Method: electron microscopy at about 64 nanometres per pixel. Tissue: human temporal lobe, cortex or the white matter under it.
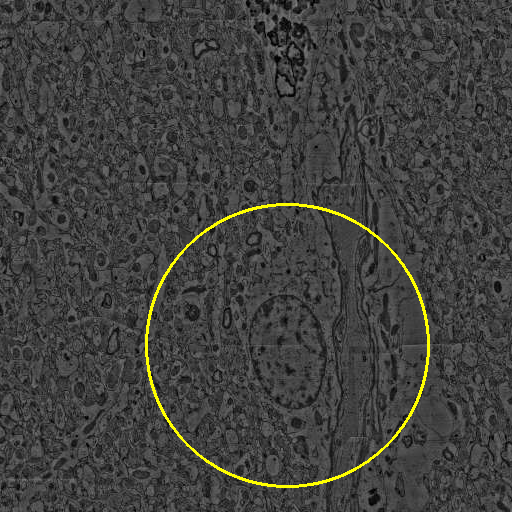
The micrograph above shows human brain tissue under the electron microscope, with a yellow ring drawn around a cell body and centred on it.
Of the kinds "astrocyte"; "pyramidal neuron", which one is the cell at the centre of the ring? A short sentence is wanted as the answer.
The one at the centre of the ring is an astrocyte.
